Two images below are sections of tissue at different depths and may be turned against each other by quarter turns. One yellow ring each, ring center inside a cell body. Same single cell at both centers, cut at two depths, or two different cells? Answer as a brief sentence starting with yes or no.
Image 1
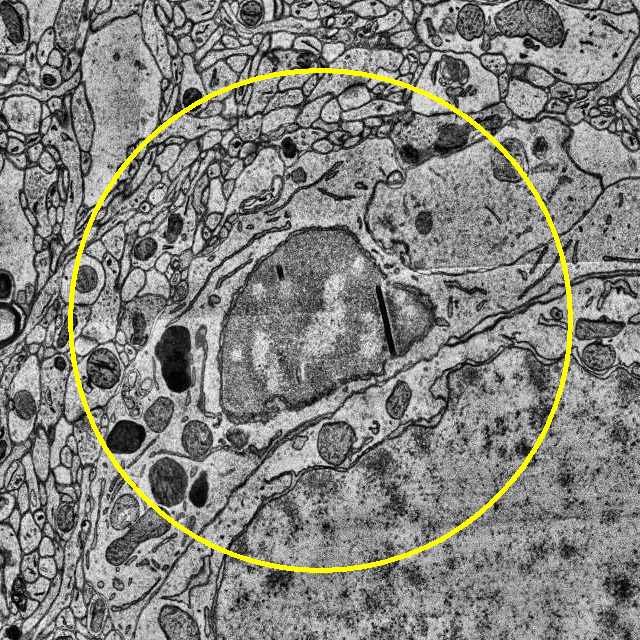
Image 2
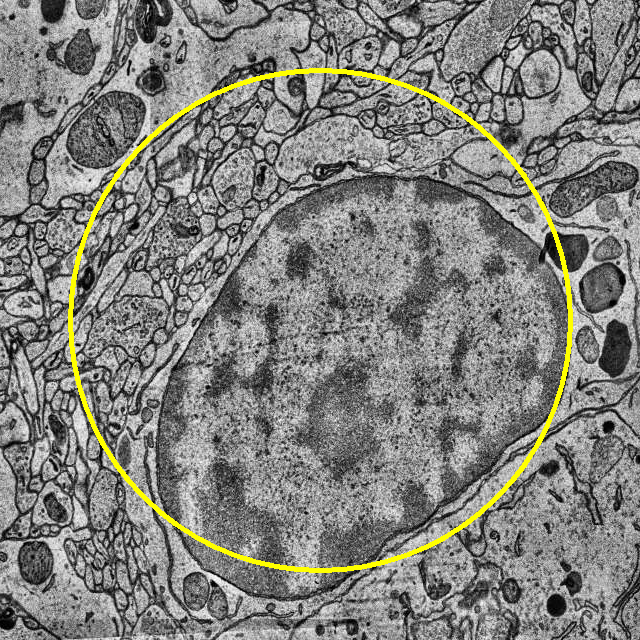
Yes, what the two rings mark is one cell.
